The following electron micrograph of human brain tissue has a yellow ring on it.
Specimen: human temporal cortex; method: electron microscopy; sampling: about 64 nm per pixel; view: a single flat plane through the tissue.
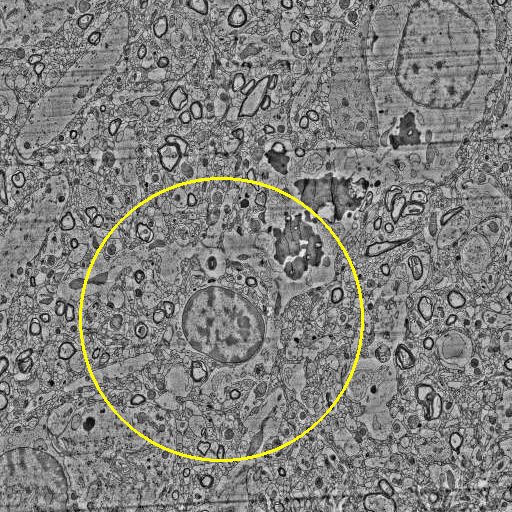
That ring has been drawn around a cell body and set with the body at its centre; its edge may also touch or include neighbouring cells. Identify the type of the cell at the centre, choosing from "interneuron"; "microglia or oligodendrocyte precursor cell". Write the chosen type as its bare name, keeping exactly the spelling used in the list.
microglia or oligodendrocyte precursor cell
